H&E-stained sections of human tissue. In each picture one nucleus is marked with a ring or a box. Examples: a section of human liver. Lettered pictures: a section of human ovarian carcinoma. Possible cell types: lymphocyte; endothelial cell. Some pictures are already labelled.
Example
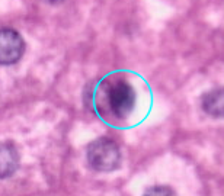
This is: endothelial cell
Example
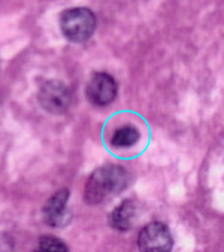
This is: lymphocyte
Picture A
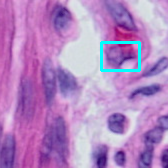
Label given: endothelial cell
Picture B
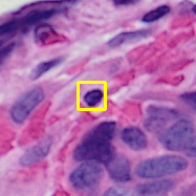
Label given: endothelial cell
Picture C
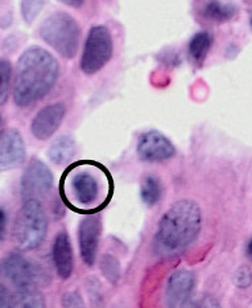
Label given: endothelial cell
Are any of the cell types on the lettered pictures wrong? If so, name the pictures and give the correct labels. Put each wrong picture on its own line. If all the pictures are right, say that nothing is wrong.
B should be lymphocyte, not endothelial cell
C should be lymphocyte, not endothelial cell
